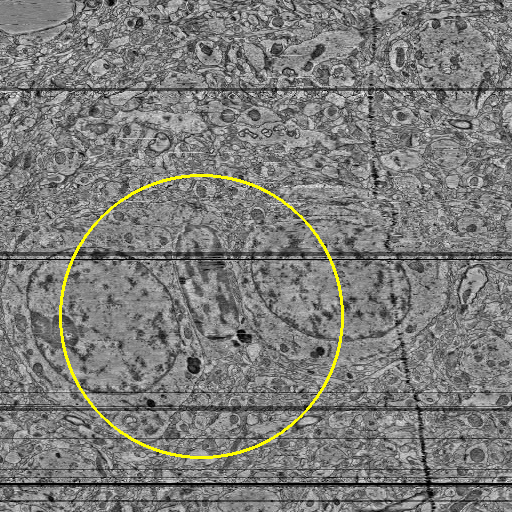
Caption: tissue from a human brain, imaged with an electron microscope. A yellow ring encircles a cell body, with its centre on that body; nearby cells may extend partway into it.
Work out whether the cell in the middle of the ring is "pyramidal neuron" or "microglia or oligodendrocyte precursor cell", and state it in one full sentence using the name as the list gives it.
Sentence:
In the picture, the cell that the yellow ring surrounds at its centre is a microglial cell or oligodendrocyte precursor cell.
